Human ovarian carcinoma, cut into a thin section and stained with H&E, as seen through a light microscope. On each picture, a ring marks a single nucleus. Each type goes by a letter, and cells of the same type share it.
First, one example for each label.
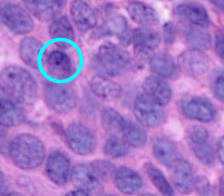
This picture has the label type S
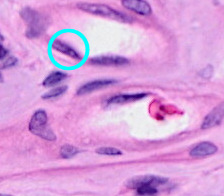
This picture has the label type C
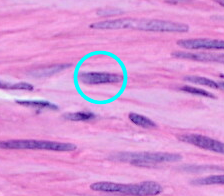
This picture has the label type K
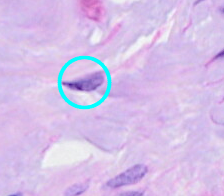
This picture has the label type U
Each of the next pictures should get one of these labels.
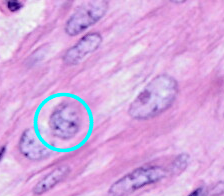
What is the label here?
type U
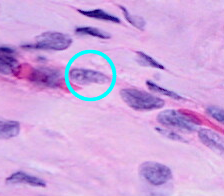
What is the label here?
type C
